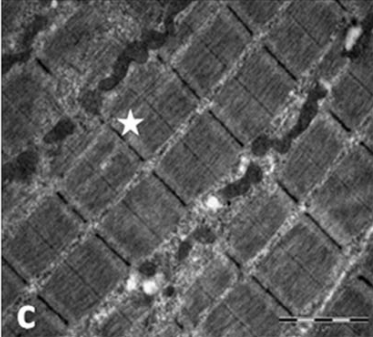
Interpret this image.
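This is a longitudinal section through a skeletal muscle fibre, showing its myofibrils cut along their length. They are divided into regular sarcomeres by thin dark Z lines, which run straight across and line up from one myofibril to the next. Dark, elongated mitochondria lie in the narrow spaces between the myofibrils.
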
